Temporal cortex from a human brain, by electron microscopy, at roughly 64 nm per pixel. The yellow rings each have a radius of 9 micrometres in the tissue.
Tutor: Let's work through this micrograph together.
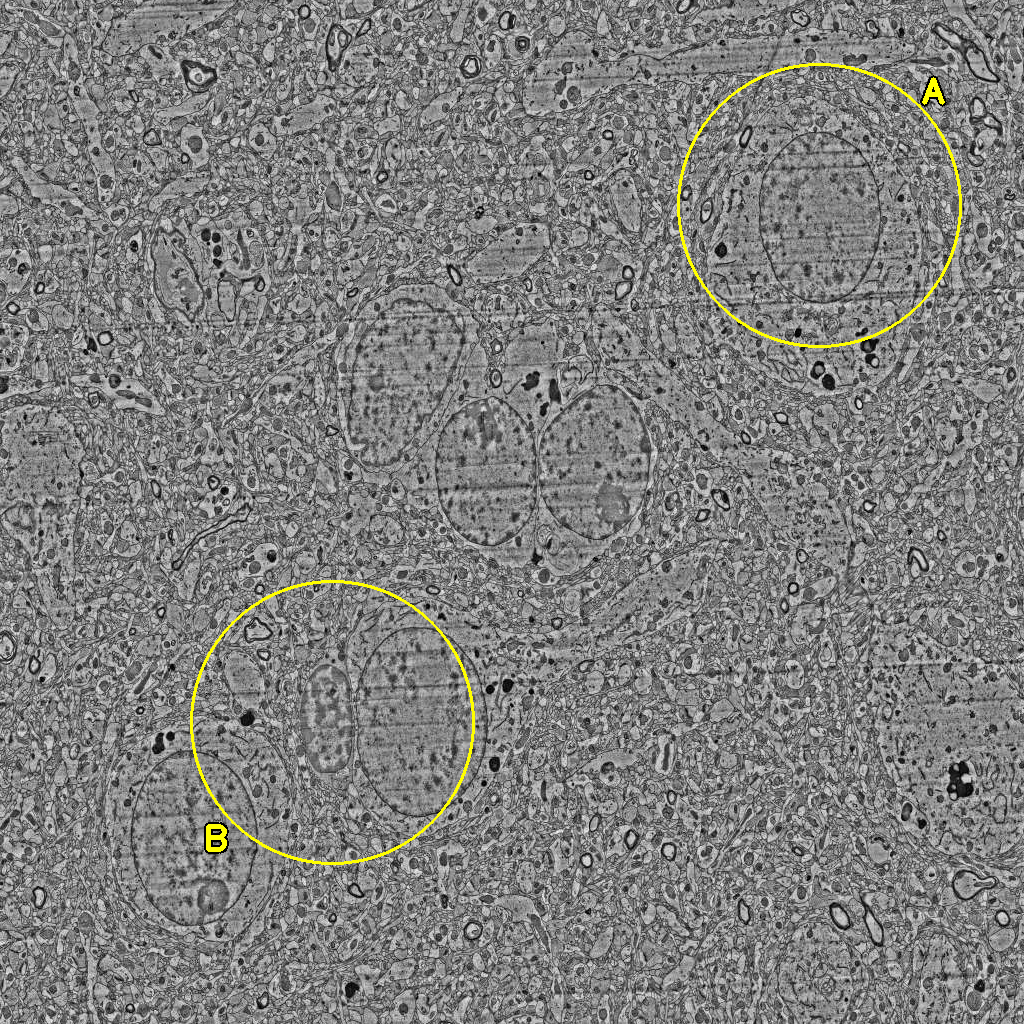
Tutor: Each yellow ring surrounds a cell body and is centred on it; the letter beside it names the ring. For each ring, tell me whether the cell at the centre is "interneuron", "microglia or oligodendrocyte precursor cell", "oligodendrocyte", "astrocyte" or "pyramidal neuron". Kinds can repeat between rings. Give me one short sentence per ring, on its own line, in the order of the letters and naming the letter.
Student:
The ring labelled A is centred on a pyramidal neuron.
The ring labelled B is centred on an oligodendrocyte.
